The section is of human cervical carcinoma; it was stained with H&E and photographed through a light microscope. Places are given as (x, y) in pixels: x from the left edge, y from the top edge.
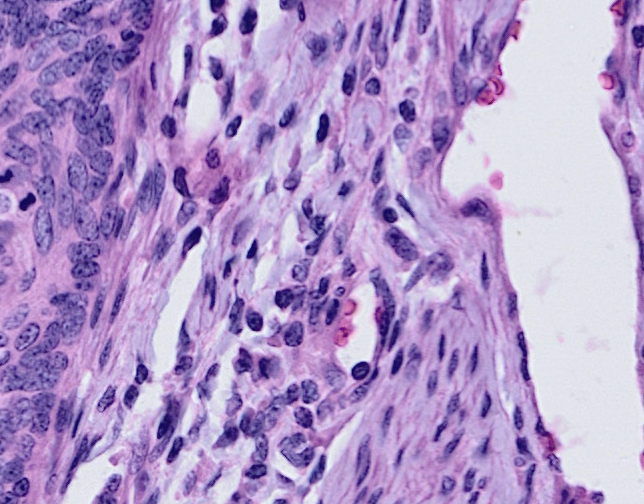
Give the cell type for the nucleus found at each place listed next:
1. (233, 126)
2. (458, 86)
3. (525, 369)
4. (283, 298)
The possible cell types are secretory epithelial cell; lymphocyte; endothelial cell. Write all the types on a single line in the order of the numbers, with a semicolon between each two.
lymphocyte; endothelial cell; endothelial cell; lymphocyte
